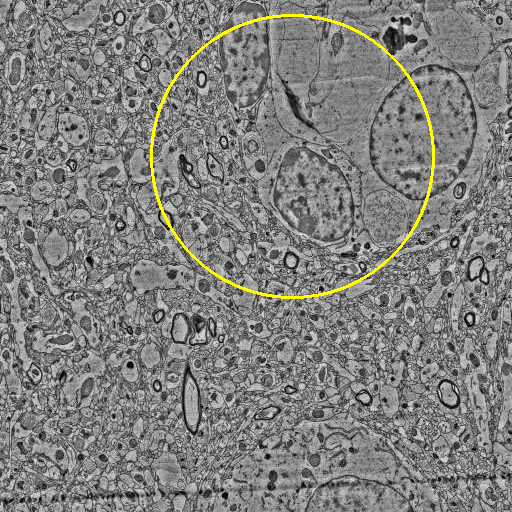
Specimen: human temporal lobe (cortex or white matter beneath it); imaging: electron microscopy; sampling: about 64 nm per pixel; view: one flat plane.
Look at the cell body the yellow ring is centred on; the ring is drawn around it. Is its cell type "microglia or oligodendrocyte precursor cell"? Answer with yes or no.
Yes, that is its cell type.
